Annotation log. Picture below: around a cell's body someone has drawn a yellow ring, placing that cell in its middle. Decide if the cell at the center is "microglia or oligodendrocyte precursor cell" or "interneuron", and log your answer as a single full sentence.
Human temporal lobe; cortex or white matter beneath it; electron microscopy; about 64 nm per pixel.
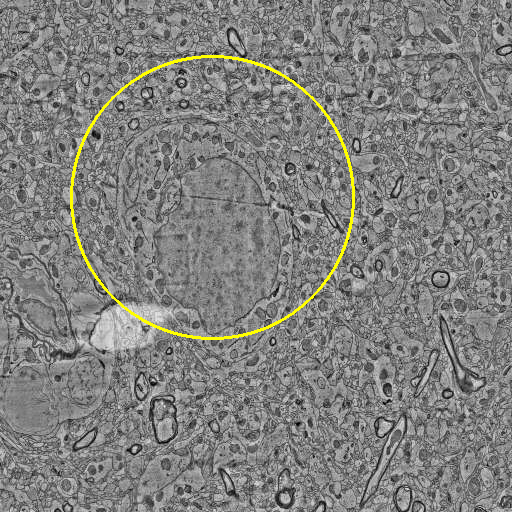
My entry records an interneuron as the cell sitting at the center of the yellow ring.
